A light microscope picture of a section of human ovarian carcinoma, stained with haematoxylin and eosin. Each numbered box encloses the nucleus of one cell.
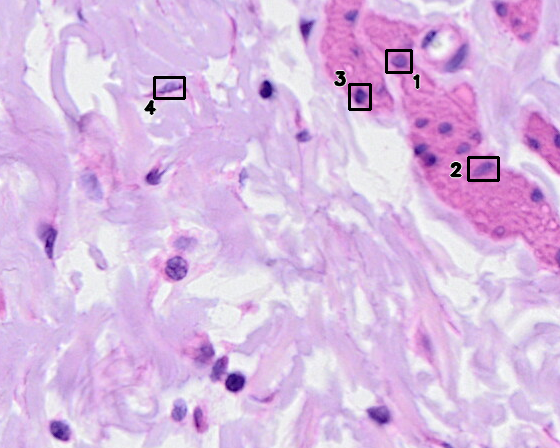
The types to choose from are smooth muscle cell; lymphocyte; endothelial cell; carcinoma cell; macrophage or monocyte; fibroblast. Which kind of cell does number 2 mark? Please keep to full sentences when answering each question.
The cell bearing label 2 corresponds to a smooth muscle cell.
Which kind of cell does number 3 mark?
That cell with number 3 is a smooth muscle cell.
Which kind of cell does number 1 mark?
It is as a smooth muscle cell that the cell numbered 1 is identified.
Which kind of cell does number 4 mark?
The numbered cell 4 in this field is a fibroblast.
